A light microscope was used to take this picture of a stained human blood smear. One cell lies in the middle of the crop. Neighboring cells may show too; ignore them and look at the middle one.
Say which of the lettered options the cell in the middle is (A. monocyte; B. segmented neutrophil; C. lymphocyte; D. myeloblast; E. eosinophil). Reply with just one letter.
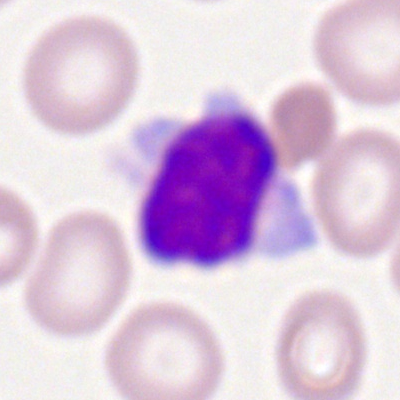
C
